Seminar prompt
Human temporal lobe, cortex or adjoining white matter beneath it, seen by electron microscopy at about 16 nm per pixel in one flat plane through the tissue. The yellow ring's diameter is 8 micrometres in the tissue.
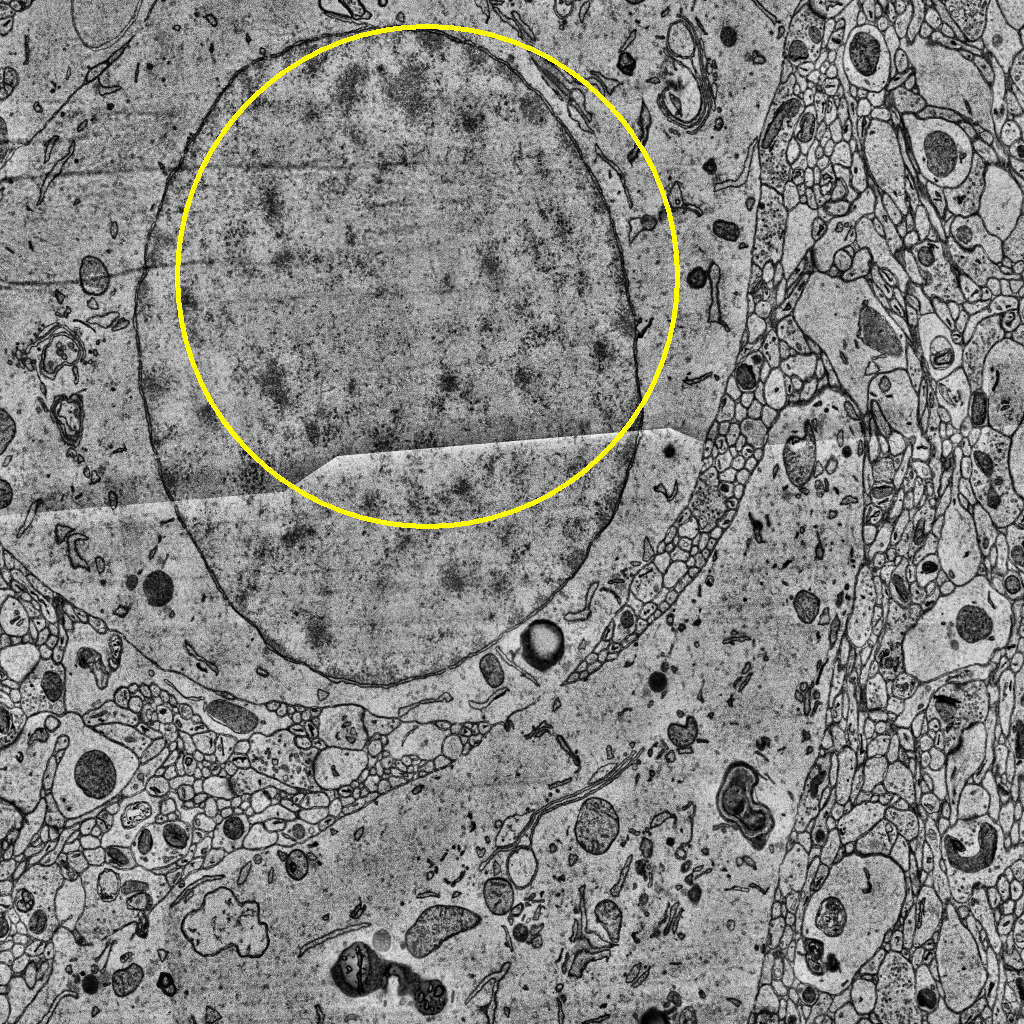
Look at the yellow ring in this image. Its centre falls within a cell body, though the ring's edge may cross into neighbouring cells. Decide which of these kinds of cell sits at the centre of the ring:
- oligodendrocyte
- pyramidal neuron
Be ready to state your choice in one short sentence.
The kind of cell at the ring's centre is a pyramidal neuron.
